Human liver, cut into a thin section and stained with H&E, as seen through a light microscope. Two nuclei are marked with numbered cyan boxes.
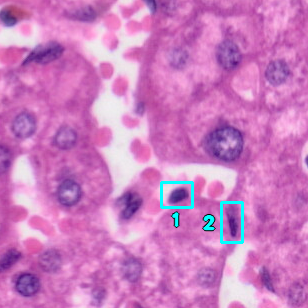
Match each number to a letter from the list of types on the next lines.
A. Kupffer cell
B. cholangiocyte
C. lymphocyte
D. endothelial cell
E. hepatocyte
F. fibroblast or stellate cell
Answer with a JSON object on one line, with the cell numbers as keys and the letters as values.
{"1": "C", "2": "F"}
